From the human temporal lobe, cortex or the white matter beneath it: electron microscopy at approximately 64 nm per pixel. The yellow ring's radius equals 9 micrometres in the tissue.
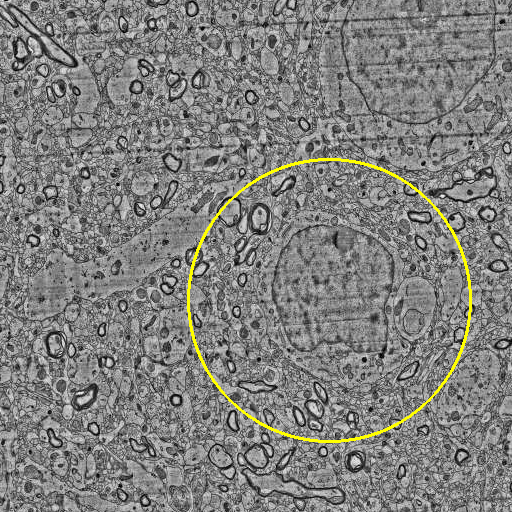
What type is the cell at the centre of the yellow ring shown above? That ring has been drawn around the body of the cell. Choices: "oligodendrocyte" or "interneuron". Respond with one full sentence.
My answer is that an interneuron lies at the centre of the yellow ring above.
